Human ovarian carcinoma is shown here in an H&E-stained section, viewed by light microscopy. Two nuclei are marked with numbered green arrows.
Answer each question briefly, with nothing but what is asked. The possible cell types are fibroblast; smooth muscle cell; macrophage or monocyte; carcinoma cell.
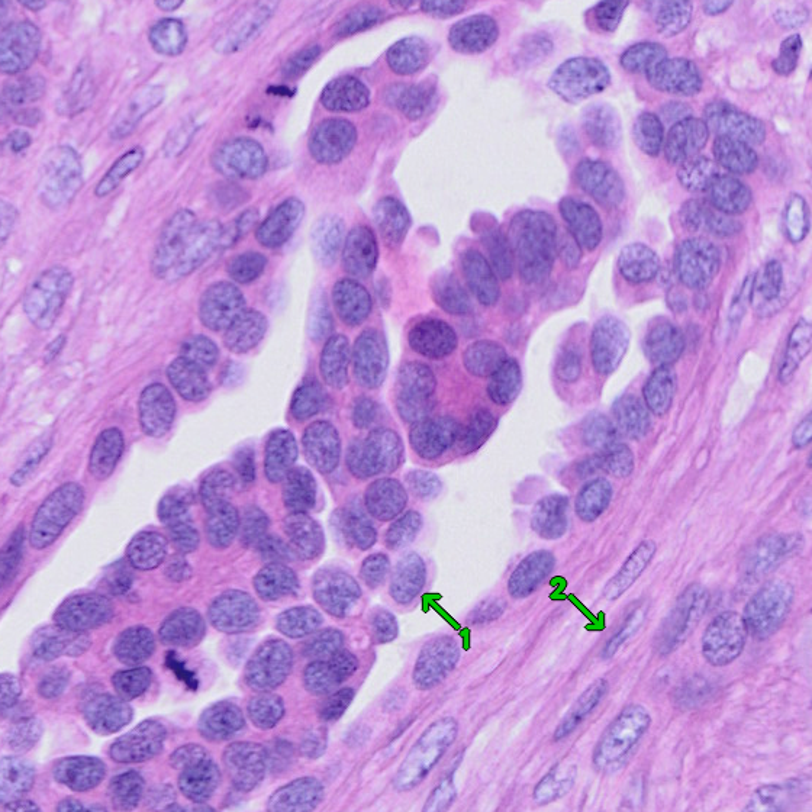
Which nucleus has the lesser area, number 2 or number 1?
2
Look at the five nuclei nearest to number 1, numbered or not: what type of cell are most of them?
carcinoma cell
